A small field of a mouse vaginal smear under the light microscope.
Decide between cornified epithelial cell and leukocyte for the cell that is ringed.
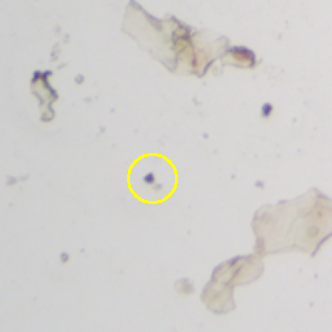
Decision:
I take the ringed cell for a leukocyte.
